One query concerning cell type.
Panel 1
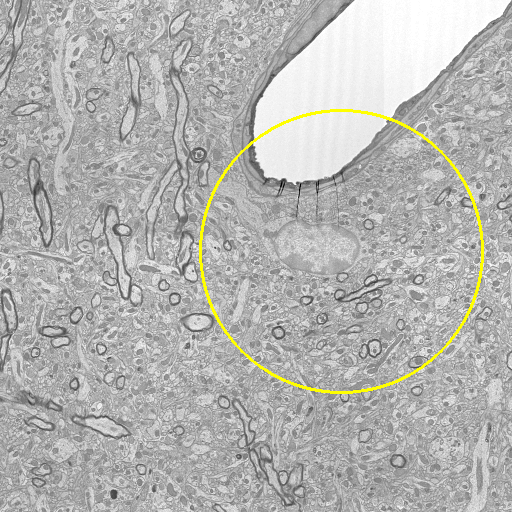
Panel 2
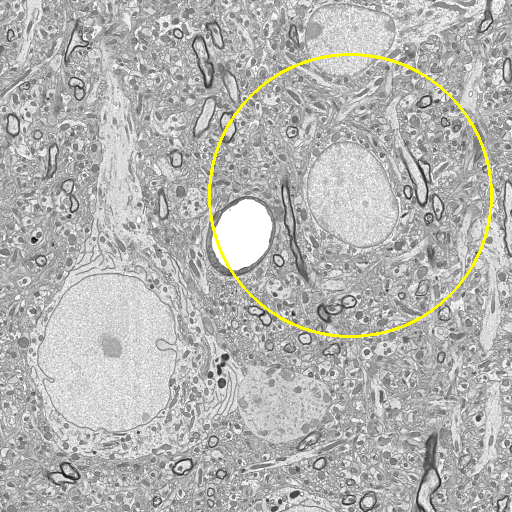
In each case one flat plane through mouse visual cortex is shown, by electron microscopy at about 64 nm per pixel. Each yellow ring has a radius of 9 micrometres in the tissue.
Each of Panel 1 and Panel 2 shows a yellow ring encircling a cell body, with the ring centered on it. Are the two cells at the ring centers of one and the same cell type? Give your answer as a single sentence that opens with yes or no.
No, the cell centered in Panel 1 and the one in Panel 2 are of two types.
